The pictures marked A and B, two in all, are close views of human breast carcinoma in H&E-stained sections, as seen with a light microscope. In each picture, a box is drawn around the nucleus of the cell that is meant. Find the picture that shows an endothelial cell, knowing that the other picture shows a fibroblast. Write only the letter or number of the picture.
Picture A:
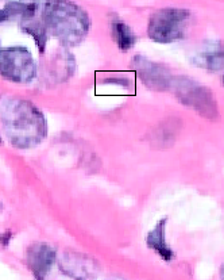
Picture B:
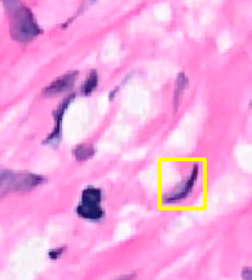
A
